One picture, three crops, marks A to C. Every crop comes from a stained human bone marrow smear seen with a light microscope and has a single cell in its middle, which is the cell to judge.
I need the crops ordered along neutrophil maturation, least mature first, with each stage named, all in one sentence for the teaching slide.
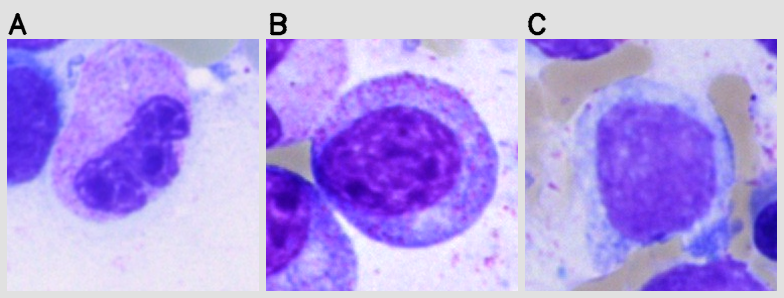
Lined up by maturity, least mature to most mature, they are crop C (a promyelocyte), crop B (a myelocyte) and crop A (a segmented neutrophil).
